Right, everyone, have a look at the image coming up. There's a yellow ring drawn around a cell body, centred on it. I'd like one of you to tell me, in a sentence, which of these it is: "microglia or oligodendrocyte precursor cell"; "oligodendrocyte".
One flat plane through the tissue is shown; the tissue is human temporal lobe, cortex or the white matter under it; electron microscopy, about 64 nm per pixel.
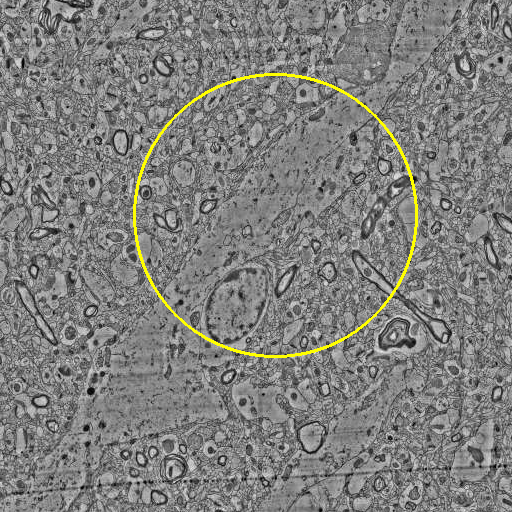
The yellow ring sits on a microglial cell or oligodendrocyte precursor cell.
